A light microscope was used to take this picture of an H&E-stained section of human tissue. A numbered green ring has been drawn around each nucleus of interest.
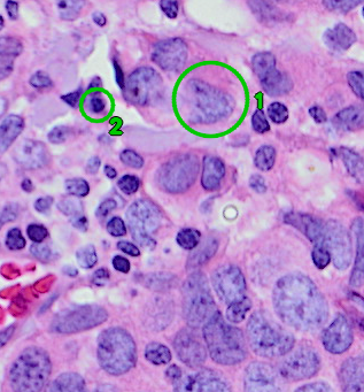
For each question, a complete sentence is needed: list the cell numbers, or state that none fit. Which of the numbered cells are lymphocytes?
Only cell 2 qualifies as a lymphocyte among the numbered cells.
